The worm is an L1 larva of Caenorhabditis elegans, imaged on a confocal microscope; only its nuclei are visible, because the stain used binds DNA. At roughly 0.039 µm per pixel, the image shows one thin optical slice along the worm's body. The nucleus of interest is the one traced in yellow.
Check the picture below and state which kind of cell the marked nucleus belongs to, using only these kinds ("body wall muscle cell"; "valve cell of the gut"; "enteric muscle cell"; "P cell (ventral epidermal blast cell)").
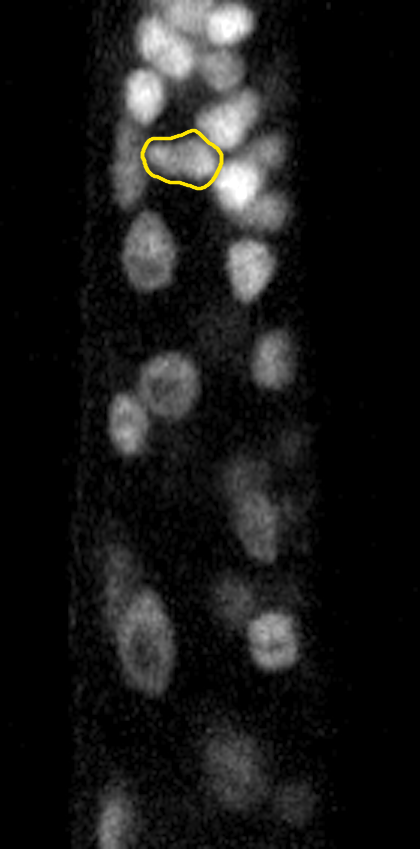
valve cell of the gut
